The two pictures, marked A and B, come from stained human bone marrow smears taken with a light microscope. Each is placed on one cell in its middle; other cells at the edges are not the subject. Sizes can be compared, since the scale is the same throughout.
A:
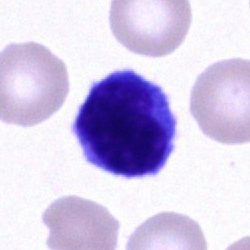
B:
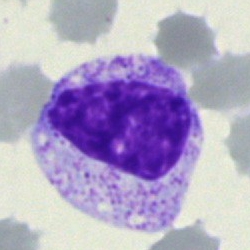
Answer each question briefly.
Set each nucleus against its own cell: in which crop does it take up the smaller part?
B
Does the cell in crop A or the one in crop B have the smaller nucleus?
A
